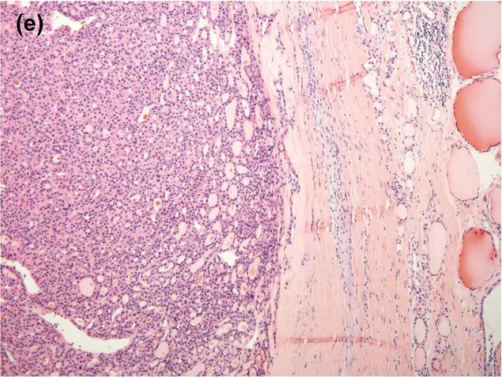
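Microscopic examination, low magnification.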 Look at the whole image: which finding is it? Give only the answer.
Well-capsulated follicular tumor.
